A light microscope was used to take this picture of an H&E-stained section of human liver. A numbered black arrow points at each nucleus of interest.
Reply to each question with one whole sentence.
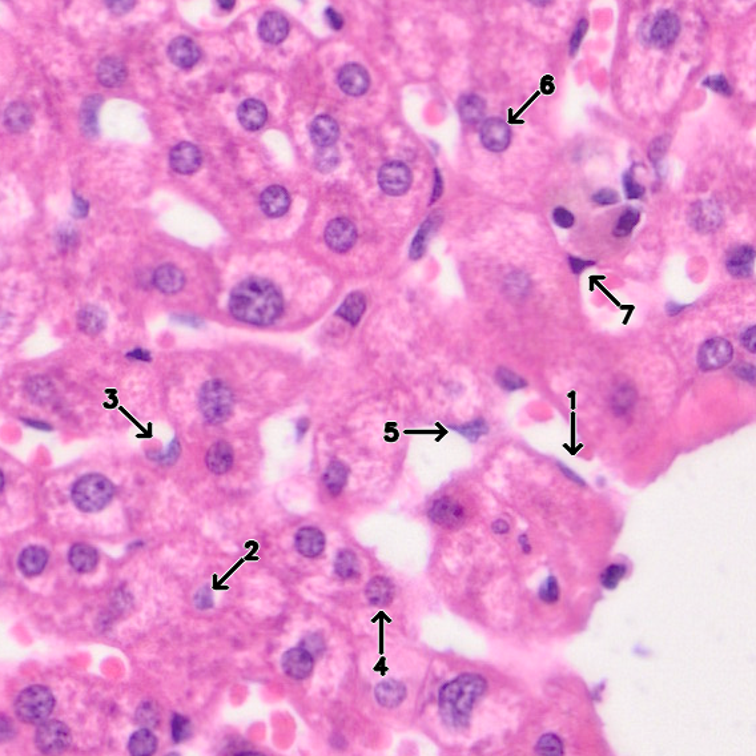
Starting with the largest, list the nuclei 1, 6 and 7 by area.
By area, largest first, they run 6, 1, 7.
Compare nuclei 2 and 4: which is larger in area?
Number 4 is larger; its area is about 1.5 times that of number 2.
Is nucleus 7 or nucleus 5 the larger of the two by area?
Nucleus 5 covers more area, about 2 times as much as nucleus 7.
